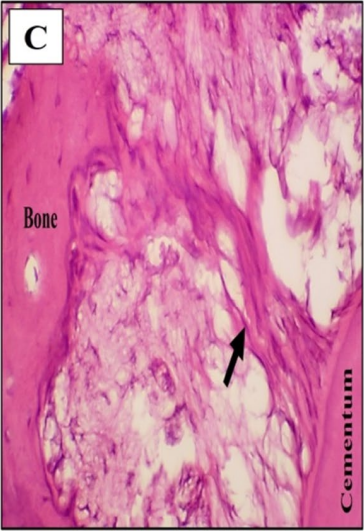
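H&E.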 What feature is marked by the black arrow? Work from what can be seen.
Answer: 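Fiber bundle. A band of pink fibers runs obliquely between the bone on the left and the cementum on the right. The band varies in thickness along its course.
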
